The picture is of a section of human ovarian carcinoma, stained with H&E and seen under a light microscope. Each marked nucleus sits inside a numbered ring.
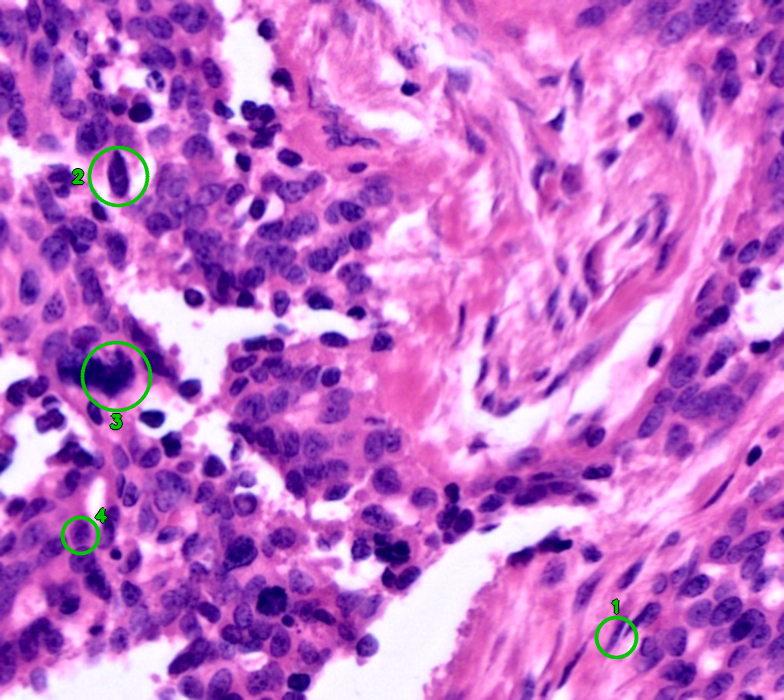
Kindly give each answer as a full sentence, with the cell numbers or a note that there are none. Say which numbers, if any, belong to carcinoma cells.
The cells that the numbers 2, 3 and 4 belong to are carcinoma cells.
